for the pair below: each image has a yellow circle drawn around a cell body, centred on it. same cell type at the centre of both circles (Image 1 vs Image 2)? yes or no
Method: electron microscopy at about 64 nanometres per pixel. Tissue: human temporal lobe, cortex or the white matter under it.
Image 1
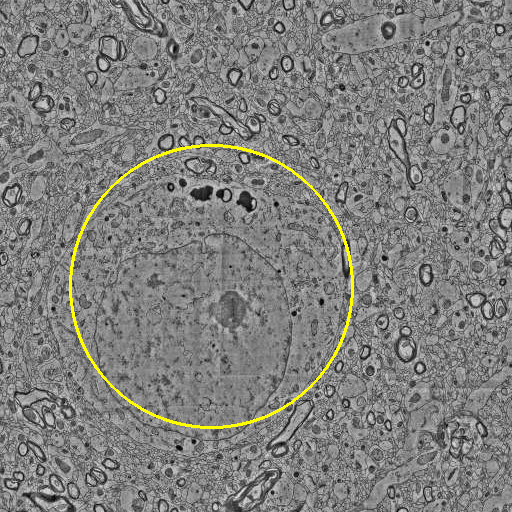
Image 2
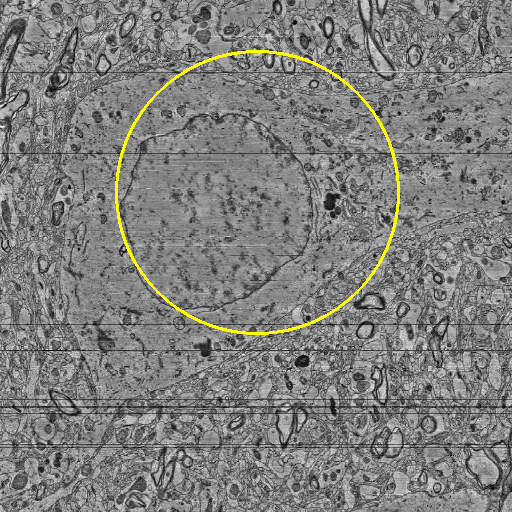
yes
